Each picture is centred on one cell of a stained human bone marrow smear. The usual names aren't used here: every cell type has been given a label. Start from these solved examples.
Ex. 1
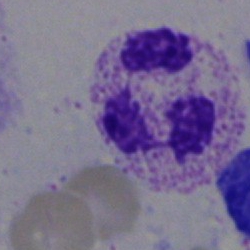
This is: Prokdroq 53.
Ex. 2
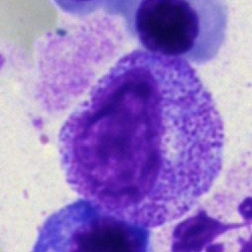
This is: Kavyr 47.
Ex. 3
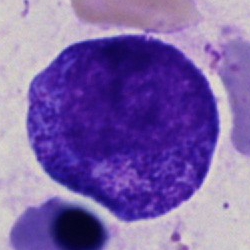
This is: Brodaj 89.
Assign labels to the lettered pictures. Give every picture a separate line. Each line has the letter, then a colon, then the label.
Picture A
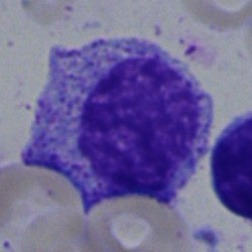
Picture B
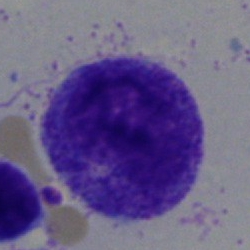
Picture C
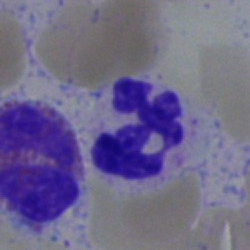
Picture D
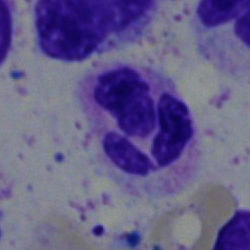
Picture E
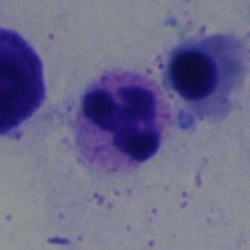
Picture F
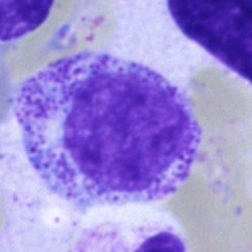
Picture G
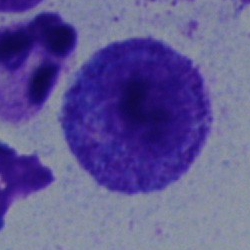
A: Kavyr 47.
B: Brodaj 89.
C: Prokdroq 53.
D: Prokdroq 53.
E: Prokdroq 53.
F: Kavyr 47.
G: Brodaj 89.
